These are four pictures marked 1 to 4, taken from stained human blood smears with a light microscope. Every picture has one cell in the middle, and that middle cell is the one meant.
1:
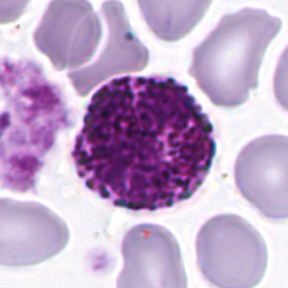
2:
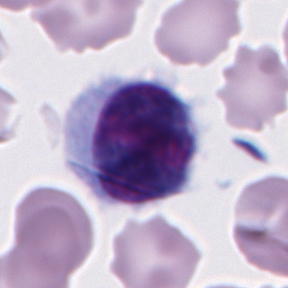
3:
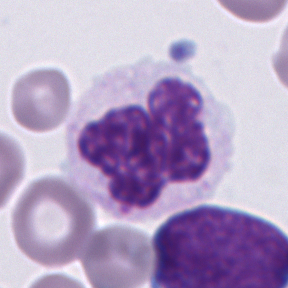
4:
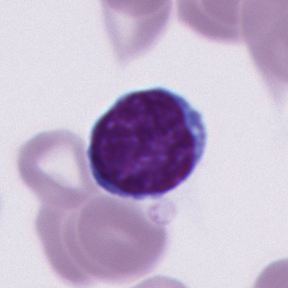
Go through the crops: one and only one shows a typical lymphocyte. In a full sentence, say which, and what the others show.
In the crop designated 4, the cell is a typical lymphocyte, while crop 1 is a basophil, crop 2 is a hairy cell and crop 3 is a segmented neutrophil.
